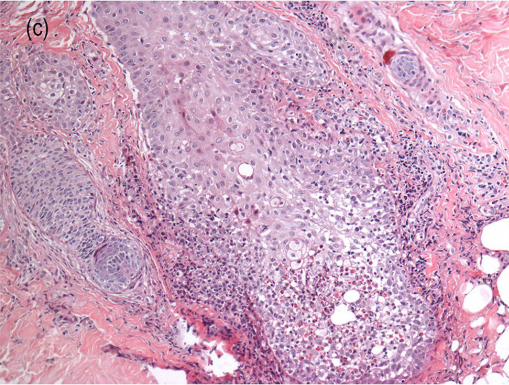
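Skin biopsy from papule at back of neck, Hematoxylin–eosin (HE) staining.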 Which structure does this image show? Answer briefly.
hair follicle epithelium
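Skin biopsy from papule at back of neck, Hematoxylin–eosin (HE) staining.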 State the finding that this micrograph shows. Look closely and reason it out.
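Surrounded by eosinophils, lymphocytes, and neutrophils inflammatory infiltration. Dense clusters of small dark nuclei crowd around and into the epithelial islands. Some infiltrating cells have bright red-pink granular cytoplasm.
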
